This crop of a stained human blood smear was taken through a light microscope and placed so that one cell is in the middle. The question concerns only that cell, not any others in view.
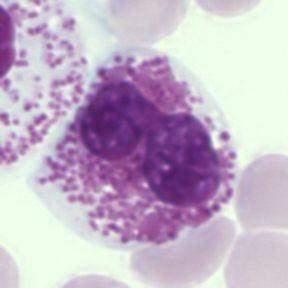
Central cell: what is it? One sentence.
The cell in the middle of this crop is an eosinophil.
